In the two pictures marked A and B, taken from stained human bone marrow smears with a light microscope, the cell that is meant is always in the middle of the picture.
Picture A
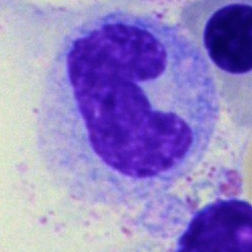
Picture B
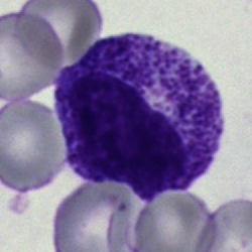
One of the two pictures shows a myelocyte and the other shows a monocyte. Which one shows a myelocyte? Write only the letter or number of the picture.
B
